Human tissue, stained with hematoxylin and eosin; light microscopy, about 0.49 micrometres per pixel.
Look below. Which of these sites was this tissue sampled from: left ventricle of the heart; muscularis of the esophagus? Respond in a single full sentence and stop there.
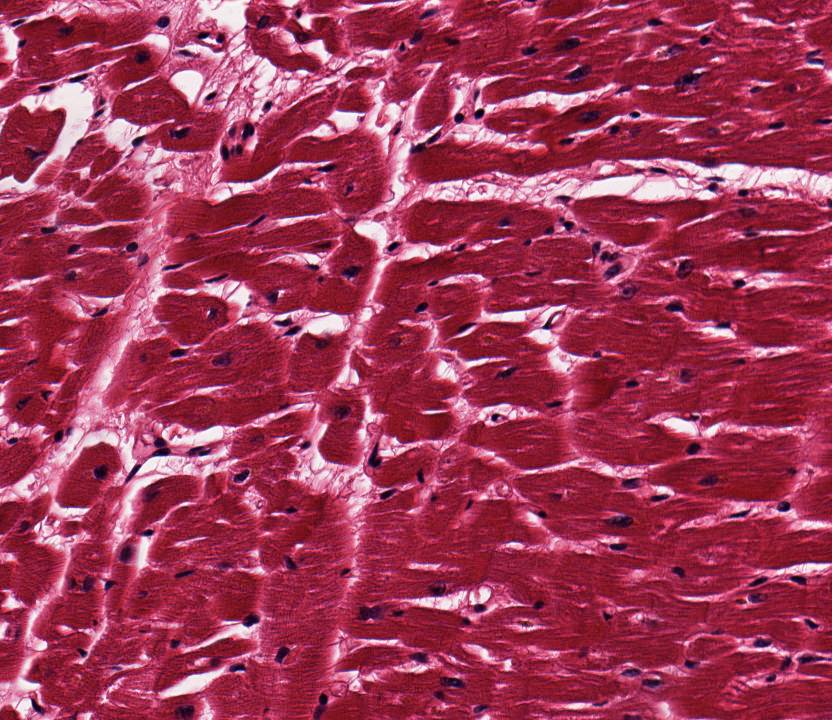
The human tissue in this section was sampled from the left ventricle of the heart.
